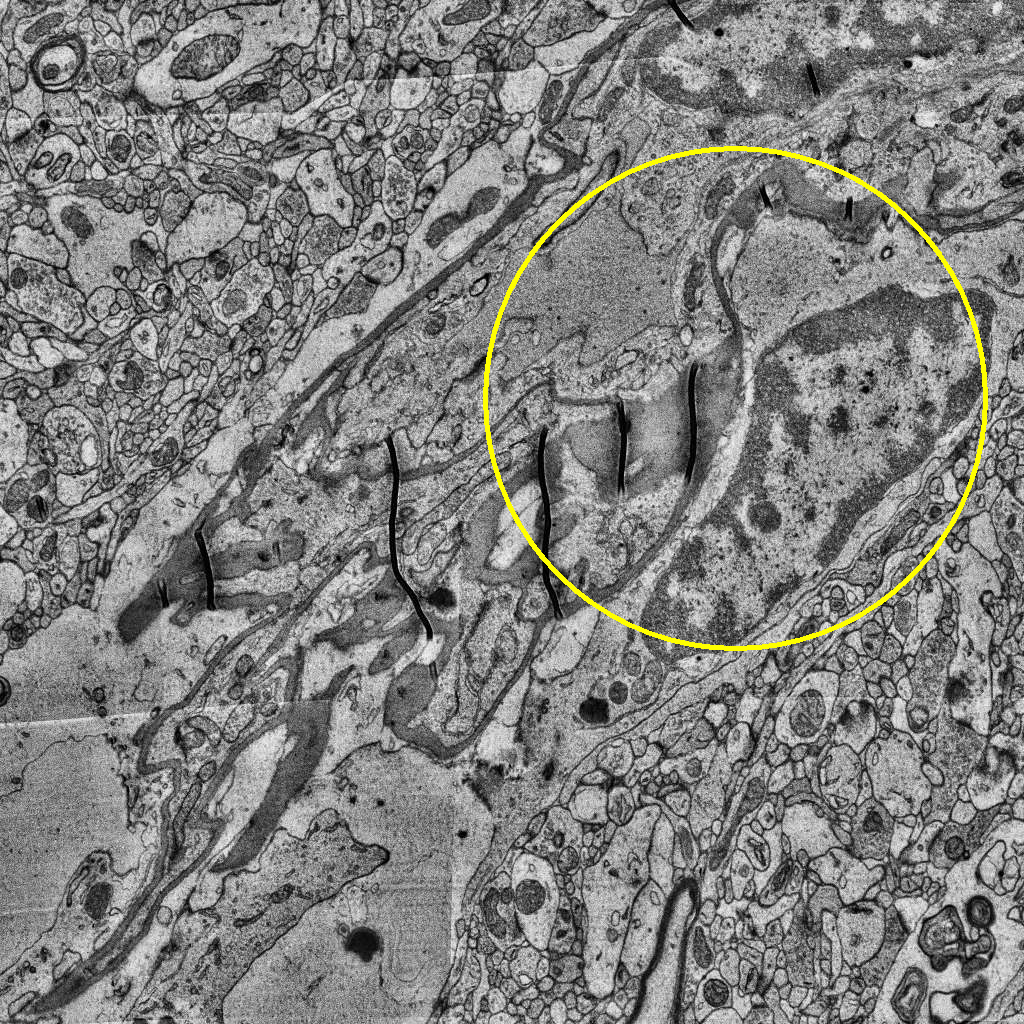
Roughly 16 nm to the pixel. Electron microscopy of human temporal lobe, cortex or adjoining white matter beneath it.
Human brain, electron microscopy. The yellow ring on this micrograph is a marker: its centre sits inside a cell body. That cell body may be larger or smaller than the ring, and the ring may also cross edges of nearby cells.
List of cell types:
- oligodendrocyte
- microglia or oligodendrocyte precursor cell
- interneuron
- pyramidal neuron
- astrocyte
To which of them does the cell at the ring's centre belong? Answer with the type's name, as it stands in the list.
microglia or oligodendrocyte precursor cell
